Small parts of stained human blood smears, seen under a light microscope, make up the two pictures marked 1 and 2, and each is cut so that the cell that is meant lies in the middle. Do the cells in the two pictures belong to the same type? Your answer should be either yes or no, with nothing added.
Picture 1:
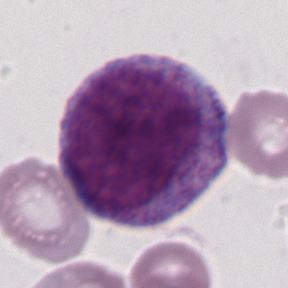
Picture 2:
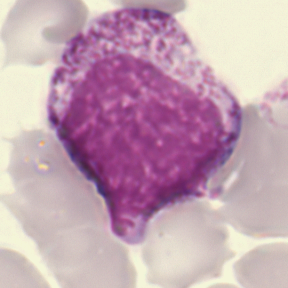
yes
